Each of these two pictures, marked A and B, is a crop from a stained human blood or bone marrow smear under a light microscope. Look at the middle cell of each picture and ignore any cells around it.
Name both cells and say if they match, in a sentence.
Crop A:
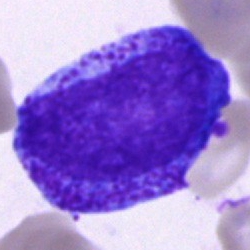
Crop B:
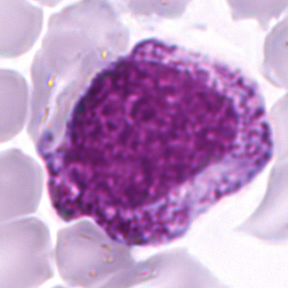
Yes, promyelocytes occupy the centre of both crops.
